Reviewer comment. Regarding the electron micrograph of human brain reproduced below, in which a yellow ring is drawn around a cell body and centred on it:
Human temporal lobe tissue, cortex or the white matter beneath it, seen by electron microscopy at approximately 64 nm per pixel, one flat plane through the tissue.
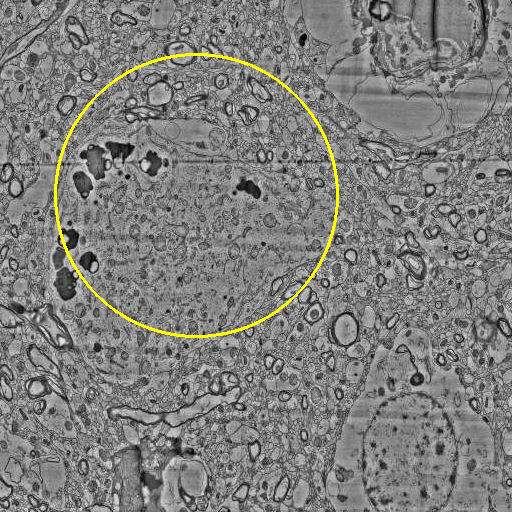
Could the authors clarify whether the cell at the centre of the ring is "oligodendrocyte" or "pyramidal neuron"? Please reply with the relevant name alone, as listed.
oligodendrocyte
